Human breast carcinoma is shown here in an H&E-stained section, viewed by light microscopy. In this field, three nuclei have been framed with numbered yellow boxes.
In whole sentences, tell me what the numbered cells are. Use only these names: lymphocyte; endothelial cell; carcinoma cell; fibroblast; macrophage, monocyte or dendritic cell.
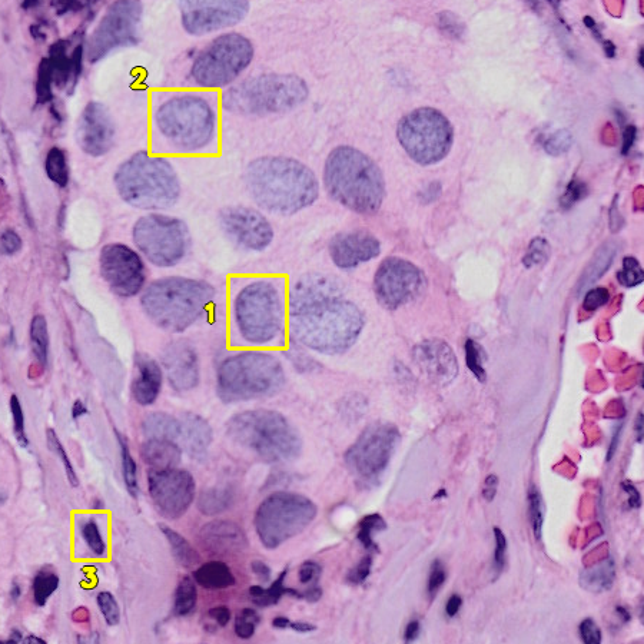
Cells 1 and 2 are carcinoma cells. Cell 3 is a lymphocyte.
